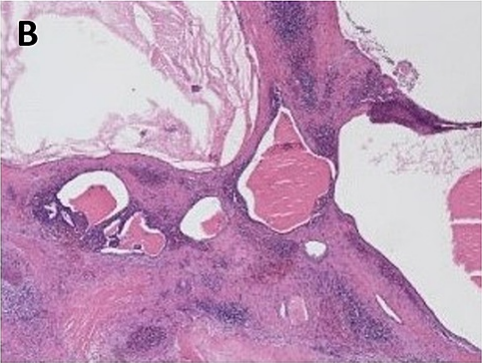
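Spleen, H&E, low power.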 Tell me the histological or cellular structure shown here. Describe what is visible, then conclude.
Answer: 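Several large rounded and angular spaces lined by a thin layer of cells. Some spaces contain pink homogeneous material. So: cystically dilated glandular structures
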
